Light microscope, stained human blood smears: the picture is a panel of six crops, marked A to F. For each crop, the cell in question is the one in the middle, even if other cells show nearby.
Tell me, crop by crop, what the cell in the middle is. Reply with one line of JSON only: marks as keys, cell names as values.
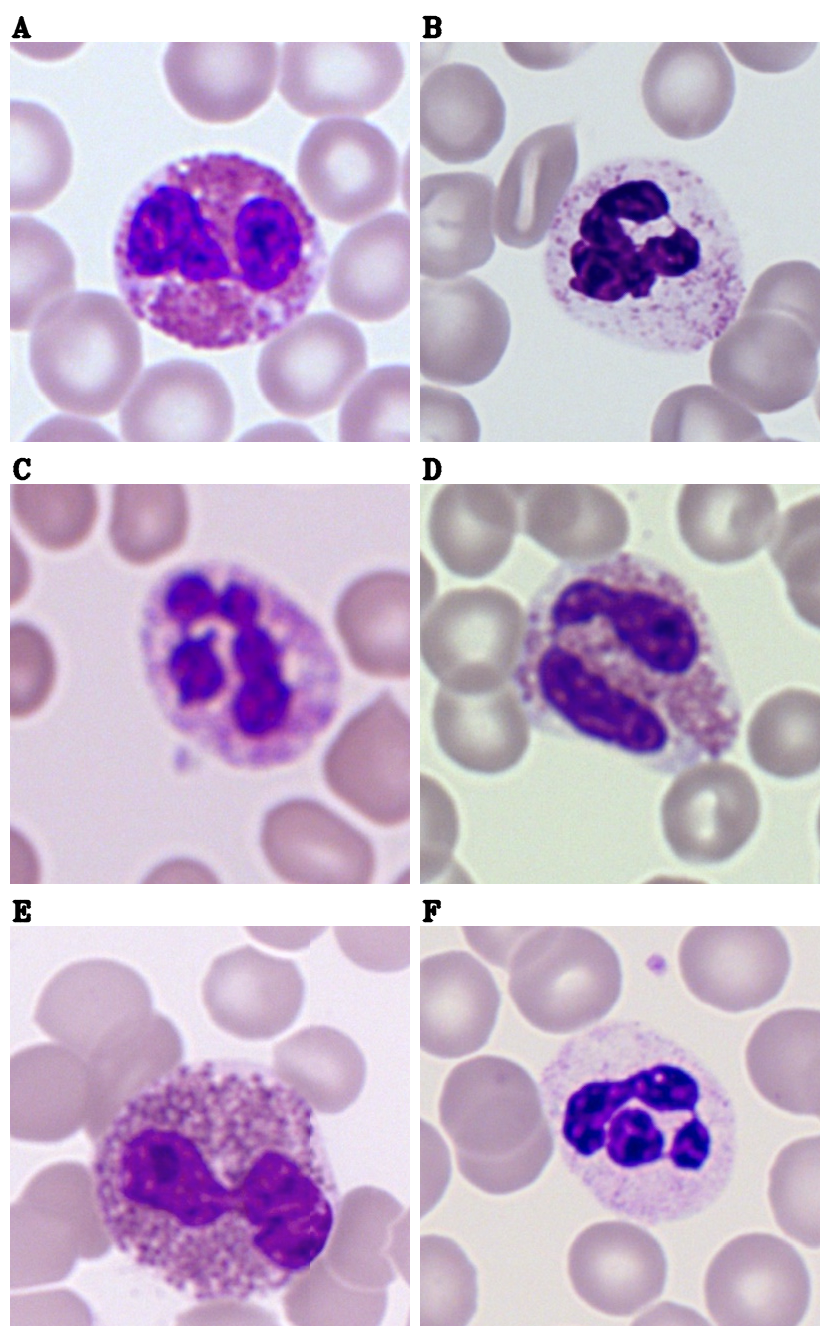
{"A": "eosinophil", "B": "neutrophil", "C": "neutrophil", "D": "eosinophil", "E": "eosinophil", "F": "neutrophil"}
